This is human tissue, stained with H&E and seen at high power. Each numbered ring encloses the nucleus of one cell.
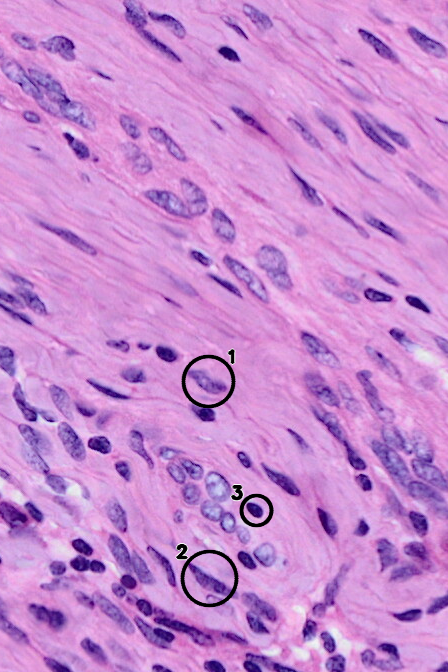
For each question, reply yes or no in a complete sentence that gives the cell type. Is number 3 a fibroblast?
No, cell 3 is not a fibroblast: it is a lymphocyte.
